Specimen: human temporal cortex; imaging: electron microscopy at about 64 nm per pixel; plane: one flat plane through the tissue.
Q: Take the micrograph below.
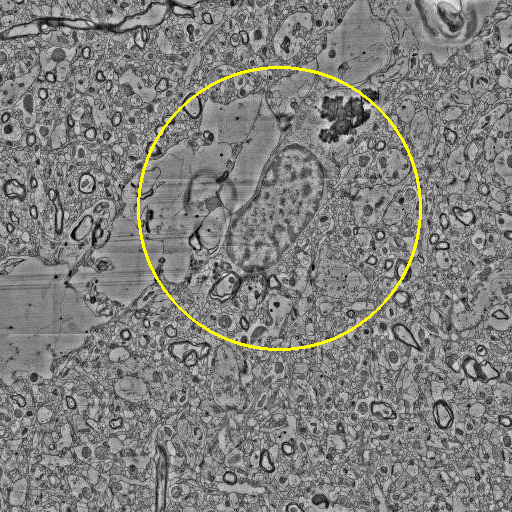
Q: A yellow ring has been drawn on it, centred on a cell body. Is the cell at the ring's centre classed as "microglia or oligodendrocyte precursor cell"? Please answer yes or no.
No, its kind is another one.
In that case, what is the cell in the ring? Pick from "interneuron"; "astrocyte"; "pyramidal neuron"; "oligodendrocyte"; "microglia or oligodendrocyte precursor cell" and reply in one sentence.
The answer is that the ringed cell is an oligodendrocyte.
